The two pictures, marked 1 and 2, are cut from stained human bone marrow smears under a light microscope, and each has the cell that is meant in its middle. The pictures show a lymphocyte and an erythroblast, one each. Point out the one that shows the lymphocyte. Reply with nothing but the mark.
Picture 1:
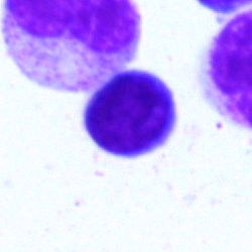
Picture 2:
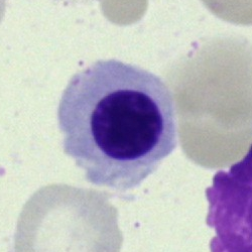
1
